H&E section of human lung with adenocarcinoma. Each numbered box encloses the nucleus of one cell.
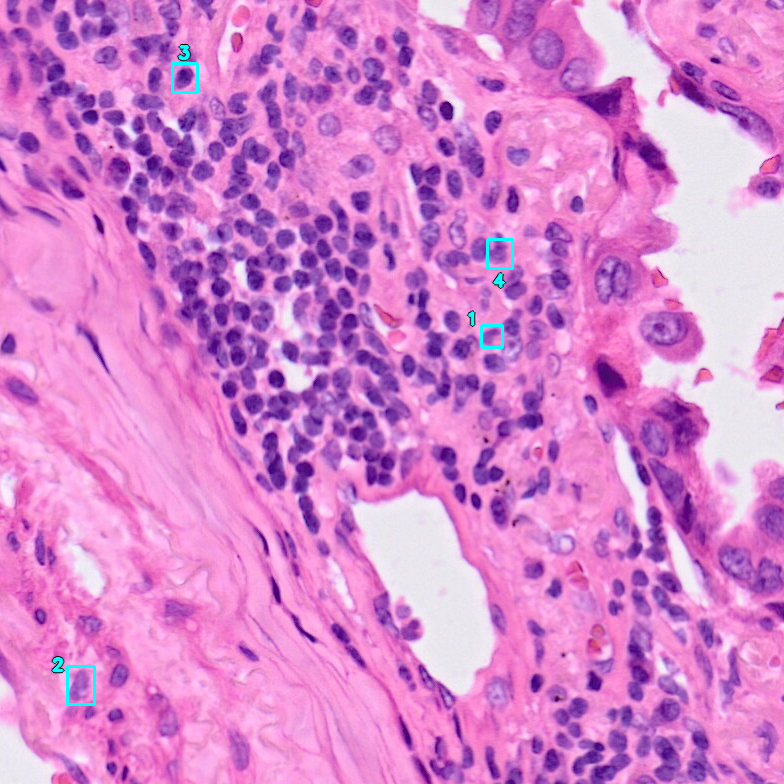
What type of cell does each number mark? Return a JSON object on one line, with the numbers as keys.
{"1": "lymphocyte", "2": "smooth muscle cell or pericyte", "3": "lymphocyte", "4": "lymphocyte"}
